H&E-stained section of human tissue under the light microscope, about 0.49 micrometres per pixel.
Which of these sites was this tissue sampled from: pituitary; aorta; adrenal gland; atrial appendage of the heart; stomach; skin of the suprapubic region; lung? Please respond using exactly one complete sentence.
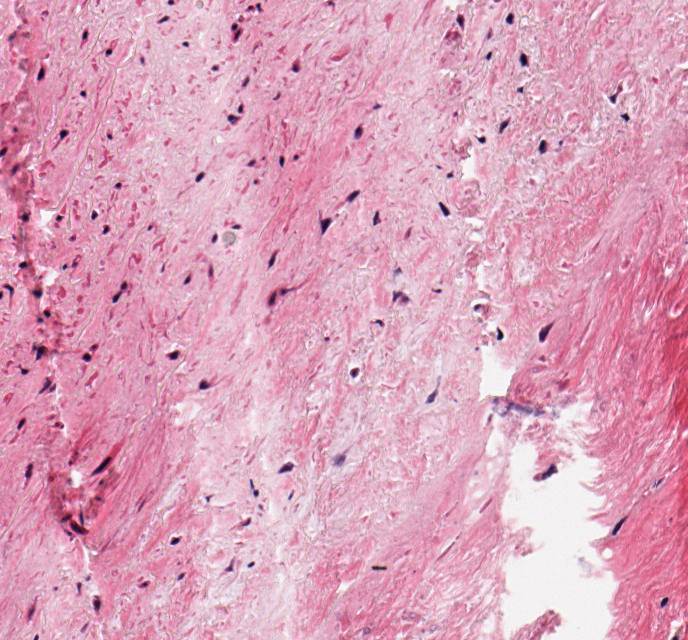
In this section is tissue sampled from the aorta.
